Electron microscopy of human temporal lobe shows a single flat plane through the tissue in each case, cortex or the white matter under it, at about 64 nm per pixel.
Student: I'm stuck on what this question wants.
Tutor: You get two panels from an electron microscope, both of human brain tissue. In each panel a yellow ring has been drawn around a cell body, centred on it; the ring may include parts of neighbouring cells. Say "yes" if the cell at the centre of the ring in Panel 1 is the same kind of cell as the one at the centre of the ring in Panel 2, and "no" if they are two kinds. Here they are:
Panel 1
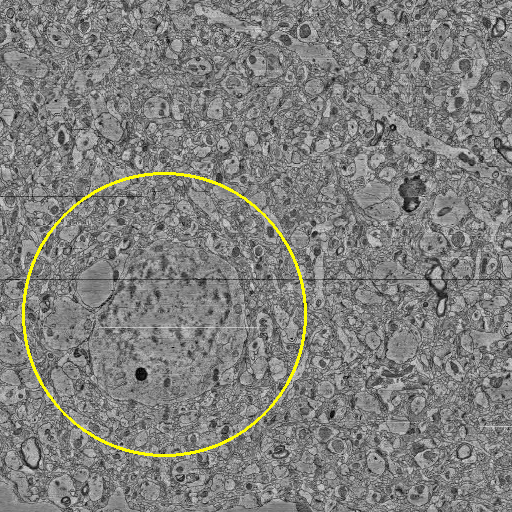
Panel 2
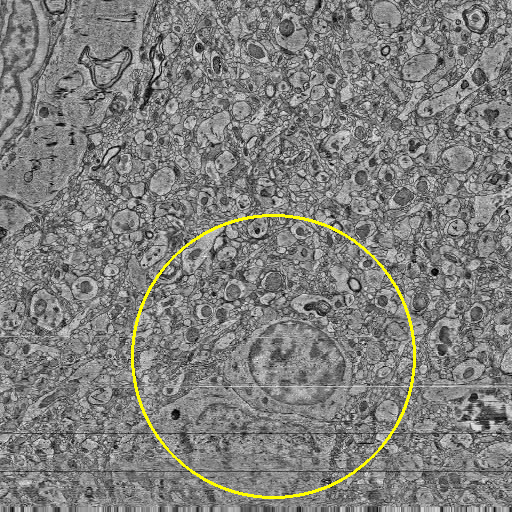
no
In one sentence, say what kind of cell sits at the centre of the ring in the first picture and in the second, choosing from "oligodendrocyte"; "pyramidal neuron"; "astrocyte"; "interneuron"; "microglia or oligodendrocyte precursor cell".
The first picture's ringed cell is an interneuron, while the second picture's is an oligodendrocyte.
